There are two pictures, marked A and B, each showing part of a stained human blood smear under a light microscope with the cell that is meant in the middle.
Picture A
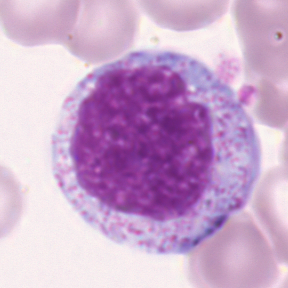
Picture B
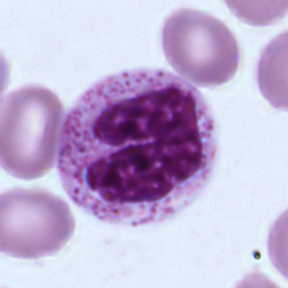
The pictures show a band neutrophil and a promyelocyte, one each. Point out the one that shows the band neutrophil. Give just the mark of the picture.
B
